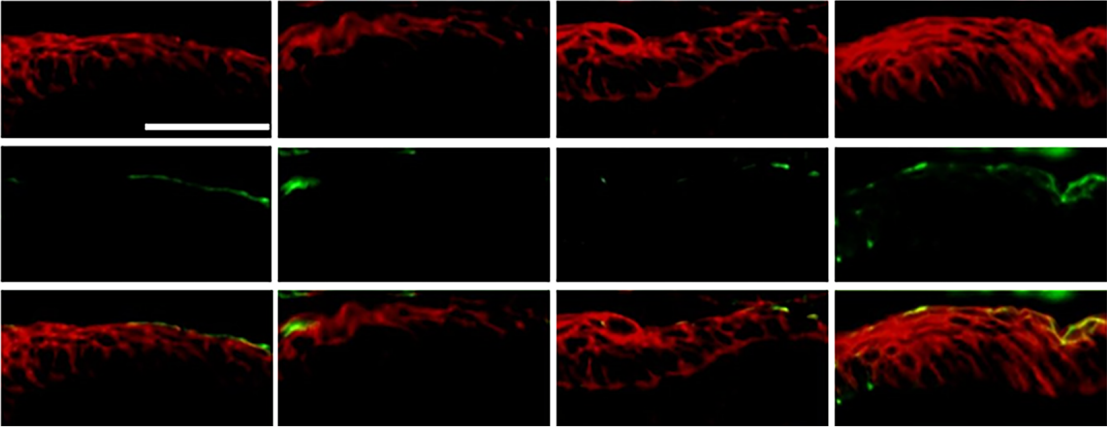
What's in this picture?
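The red signal outlines the borders of tightly packed epithelial cells. Together they form a band a few cells thick with a free upper surface. Below the band the image is dark. The green signal is sparse. It appears as thin streaks or small patches along the uppermost surface of the epithelium. In the merged images the green sits on top of the red cell layers. In one column the green is broader and runs along more of the surface.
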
